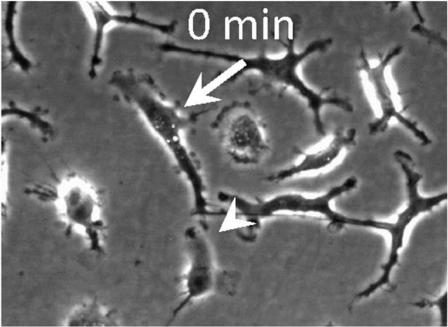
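Many cells are phase-dark and slender, with long thin processes that branch and reach out across the dish, often meeting the processes of neighbours. Bright halos outline the edges of these branched cells. An elongated cell lies stretched along one axis at the left, with a few granules in its cytoplasm. Beside it lies a rounded, flatter cell with a granular centre and a pale rim of spread cytoplasm.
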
